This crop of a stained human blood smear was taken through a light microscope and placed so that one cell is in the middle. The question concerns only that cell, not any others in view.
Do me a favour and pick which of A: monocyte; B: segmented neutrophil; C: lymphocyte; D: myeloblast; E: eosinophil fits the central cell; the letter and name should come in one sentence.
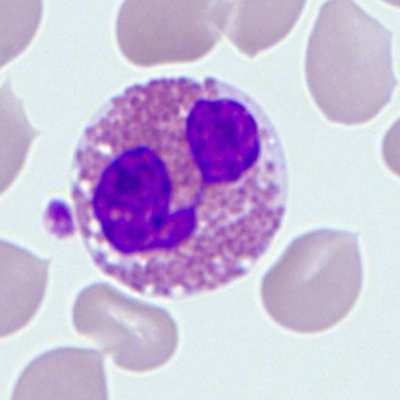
The cell in the center of this crop is an eosinophil, so option E is the one to pick.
